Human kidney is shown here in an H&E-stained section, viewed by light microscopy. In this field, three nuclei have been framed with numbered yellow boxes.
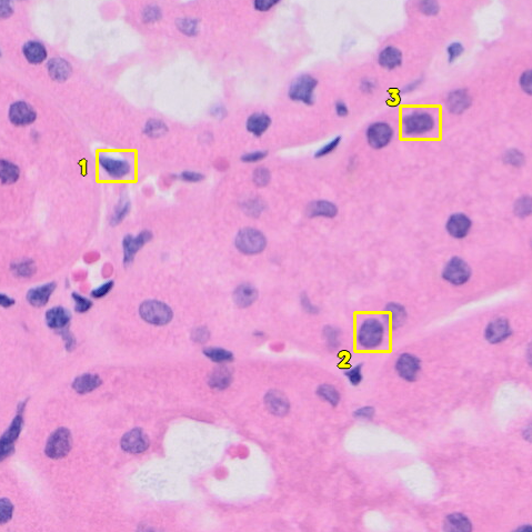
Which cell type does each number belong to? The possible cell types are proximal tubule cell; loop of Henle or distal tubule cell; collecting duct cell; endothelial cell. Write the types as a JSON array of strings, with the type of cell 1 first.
["endothelial cell", "proximal tubule cell", "proximal tubule cell"]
